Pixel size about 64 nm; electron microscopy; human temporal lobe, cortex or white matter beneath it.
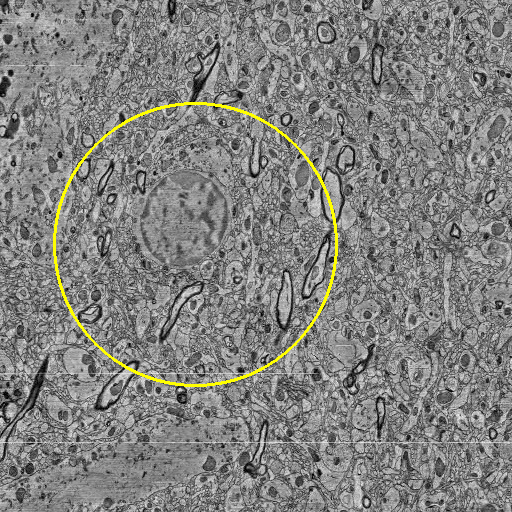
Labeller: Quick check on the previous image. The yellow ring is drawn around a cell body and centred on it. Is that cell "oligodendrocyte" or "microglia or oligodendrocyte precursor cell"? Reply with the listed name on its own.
oligodendrocyte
